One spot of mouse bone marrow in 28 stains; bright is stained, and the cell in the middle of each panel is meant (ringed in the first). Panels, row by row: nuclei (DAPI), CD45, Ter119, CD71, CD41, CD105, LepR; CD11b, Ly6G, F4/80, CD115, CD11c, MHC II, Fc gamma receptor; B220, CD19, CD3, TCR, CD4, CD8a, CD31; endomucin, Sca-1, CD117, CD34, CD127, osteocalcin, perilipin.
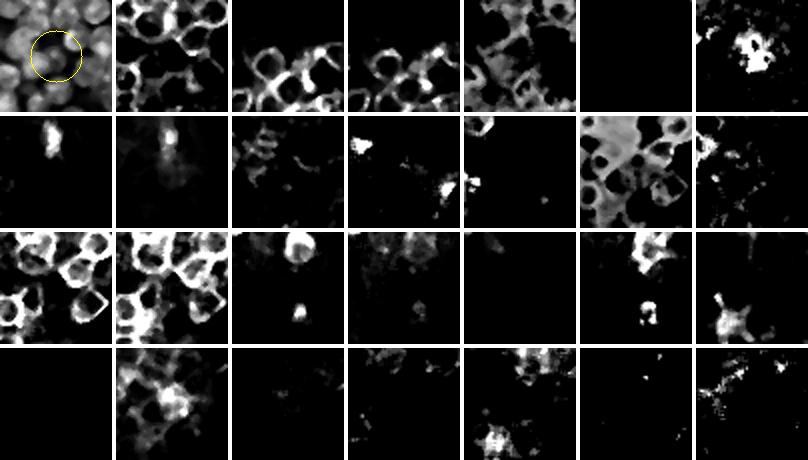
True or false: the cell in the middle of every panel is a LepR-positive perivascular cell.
True.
